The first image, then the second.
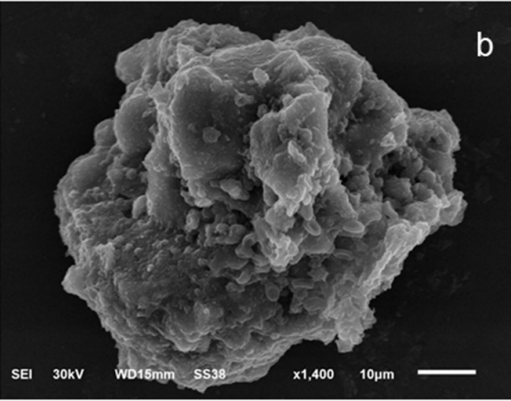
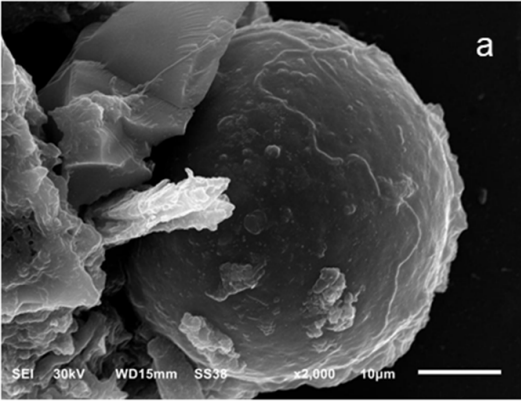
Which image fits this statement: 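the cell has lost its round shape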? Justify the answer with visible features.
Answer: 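First image: the cell has an irregular outline with a rough, lumpy surface. Second image: the cell is a smooth, regular sphere.
Answer: the first image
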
